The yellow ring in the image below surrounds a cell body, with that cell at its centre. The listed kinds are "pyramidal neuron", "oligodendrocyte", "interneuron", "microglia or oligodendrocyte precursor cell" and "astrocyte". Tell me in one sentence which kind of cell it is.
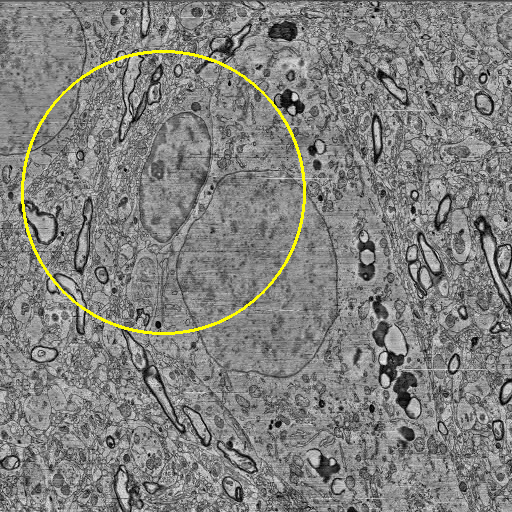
The centre of the ring holds an oligodendrocyte.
